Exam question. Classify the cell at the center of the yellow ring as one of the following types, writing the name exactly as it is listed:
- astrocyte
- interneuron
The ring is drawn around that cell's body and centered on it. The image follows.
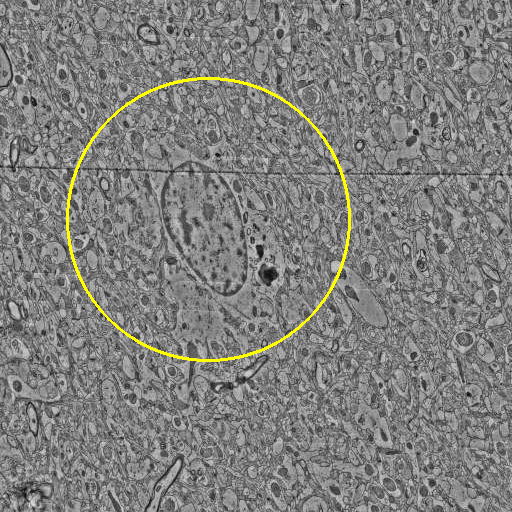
astrocyte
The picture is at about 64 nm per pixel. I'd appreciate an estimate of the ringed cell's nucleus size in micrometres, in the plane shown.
In this plane the nucleus spans approximately 9 by 5 micrometers.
